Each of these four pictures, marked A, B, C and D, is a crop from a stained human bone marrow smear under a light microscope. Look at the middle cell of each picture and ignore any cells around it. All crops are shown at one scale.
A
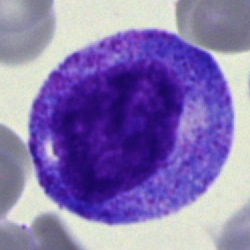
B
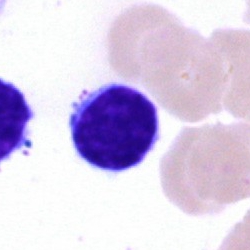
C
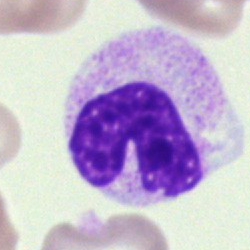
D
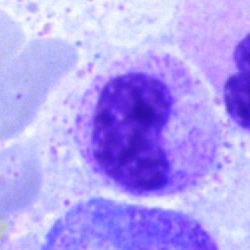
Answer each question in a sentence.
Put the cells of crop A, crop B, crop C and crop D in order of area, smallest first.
The order is B, D, C, A, beginning with the smallest.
